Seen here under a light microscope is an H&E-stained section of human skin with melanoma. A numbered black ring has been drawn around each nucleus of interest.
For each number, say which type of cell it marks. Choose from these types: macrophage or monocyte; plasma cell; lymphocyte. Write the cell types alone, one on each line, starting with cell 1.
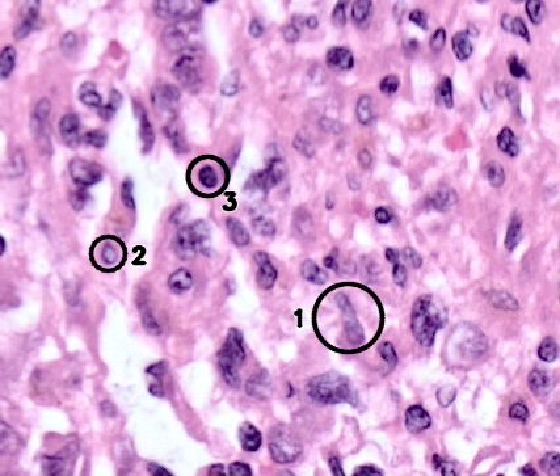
macrophage or monocyte
macrophage or monocyte
lymphocyte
